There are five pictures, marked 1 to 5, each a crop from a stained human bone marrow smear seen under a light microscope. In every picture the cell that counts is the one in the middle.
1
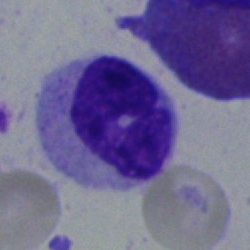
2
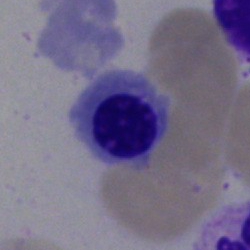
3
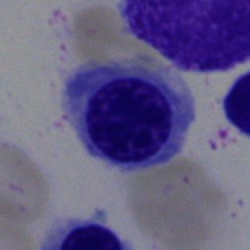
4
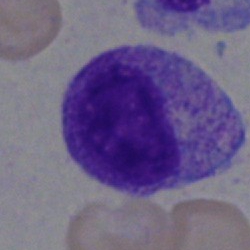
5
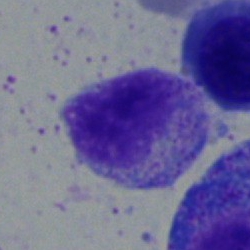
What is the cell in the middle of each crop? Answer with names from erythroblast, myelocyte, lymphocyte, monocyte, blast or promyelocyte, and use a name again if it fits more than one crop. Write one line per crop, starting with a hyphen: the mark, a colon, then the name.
- 1: monocyte
- 2: erythroblast
- 3: erythroblast
- 4: myelocyte
- 5: myelocyte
